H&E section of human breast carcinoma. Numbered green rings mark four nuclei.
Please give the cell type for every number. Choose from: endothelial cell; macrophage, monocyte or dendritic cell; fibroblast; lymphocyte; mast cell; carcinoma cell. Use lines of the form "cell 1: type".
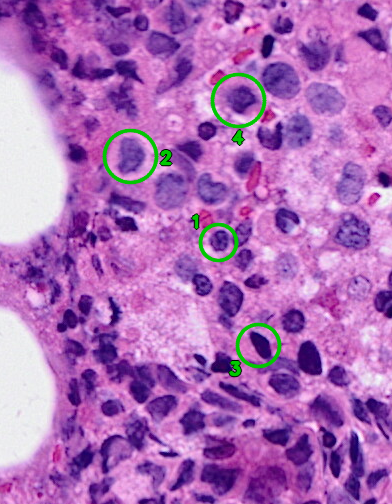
cell 1: lymphocyte
cell 2: carcinoma cell
cell 3: carcinoma cell
cell 4: carcinoma cell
